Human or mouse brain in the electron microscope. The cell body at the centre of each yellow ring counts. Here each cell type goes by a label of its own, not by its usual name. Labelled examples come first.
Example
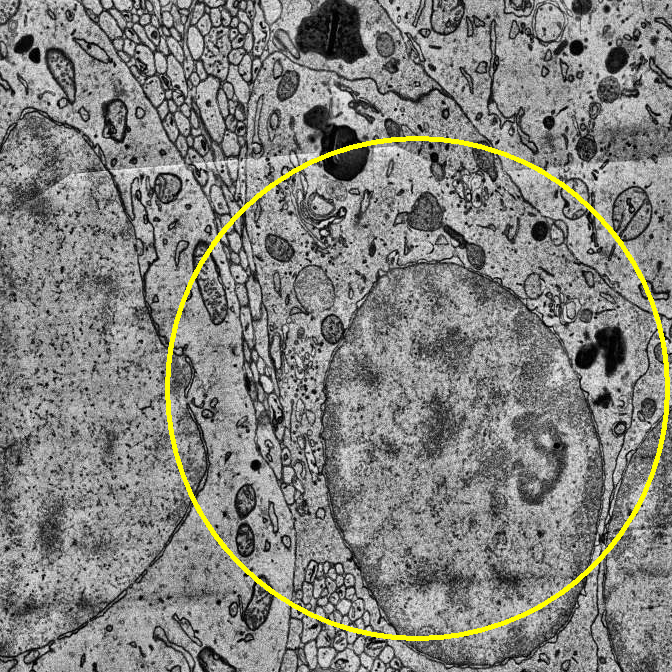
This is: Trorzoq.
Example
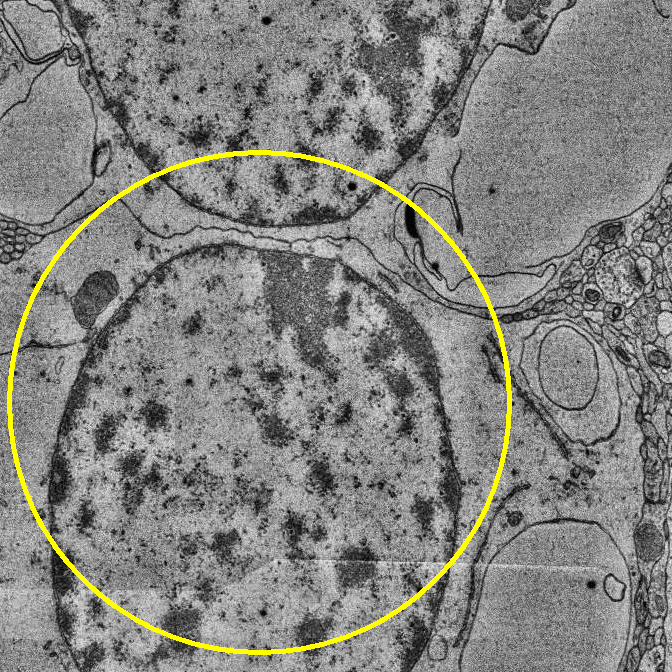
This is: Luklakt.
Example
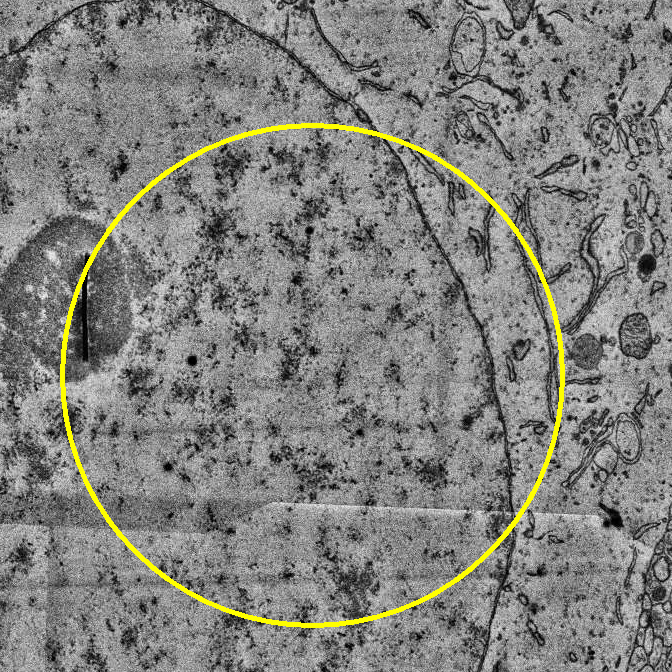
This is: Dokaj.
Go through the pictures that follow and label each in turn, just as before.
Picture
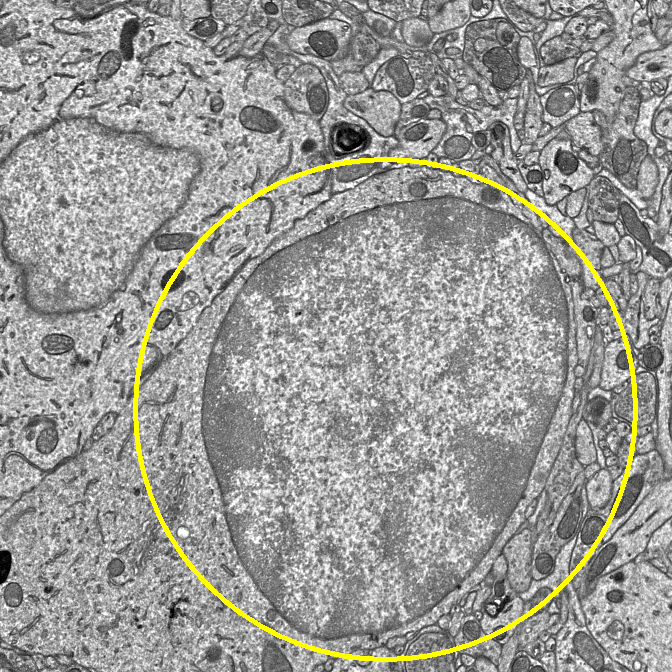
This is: Trorzoq.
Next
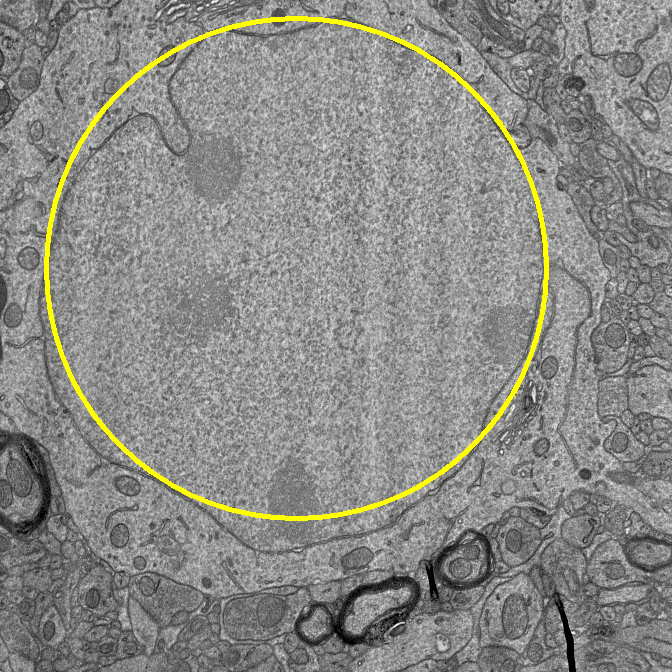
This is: Dokaj.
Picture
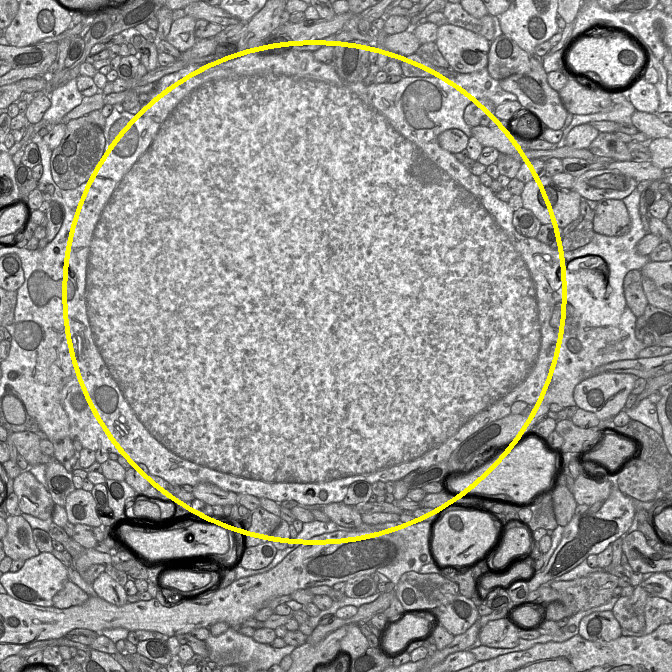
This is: Luklakt.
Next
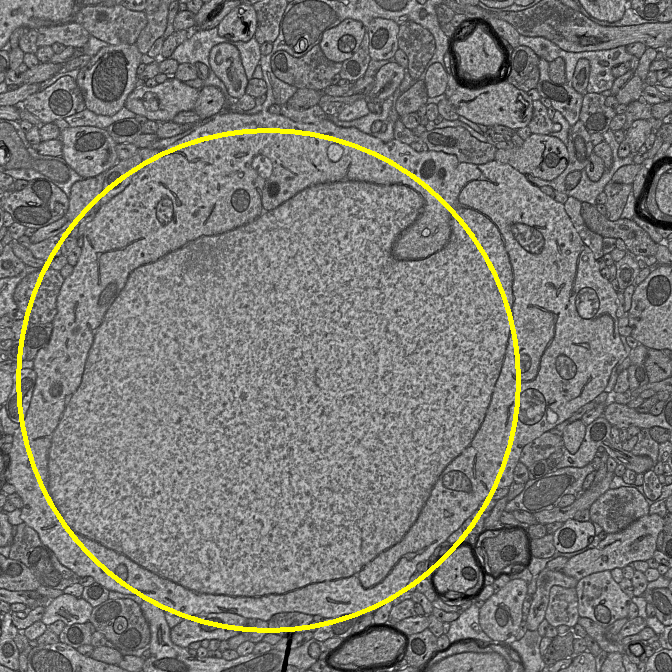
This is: Dokaj.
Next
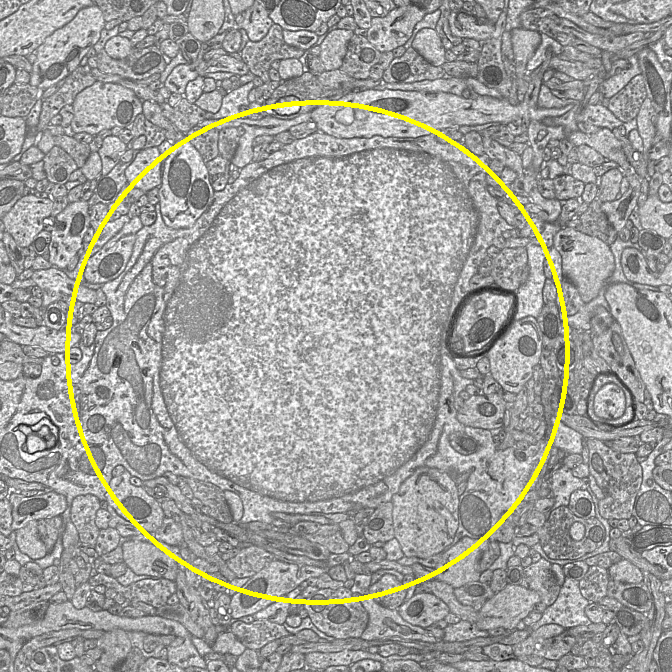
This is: Luklakt.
